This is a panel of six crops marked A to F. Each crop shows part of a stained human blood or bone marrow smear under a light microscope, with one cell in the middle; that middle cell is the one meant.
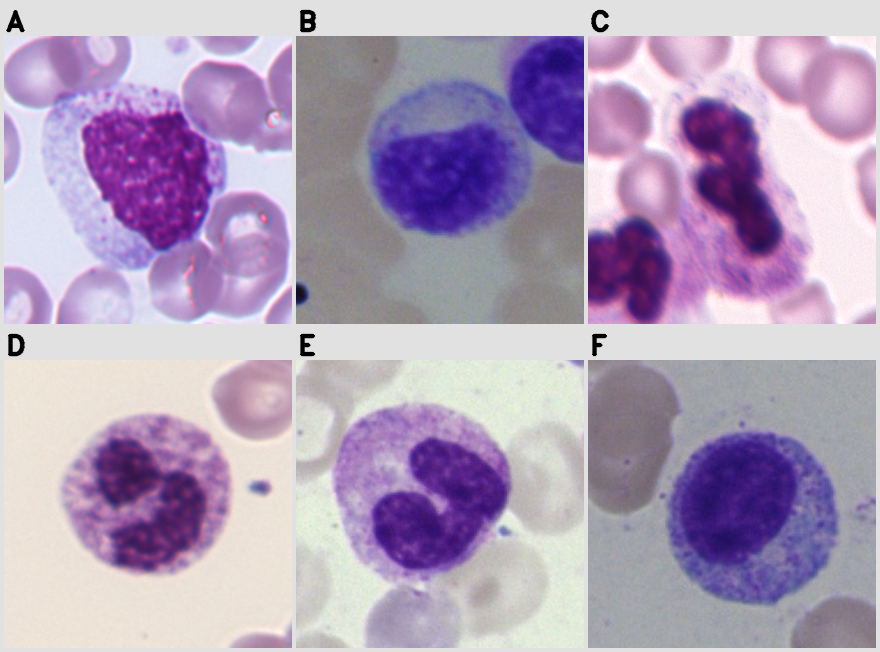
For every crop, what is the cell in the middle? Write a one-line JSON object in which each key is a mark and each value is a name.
{"A": "myelocyte", "B": "myelocyte", "C": "segmented neutrophil", "D": "segmented neutrophil", "E": "segmented neutrophil", "F": "myelocyte"}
